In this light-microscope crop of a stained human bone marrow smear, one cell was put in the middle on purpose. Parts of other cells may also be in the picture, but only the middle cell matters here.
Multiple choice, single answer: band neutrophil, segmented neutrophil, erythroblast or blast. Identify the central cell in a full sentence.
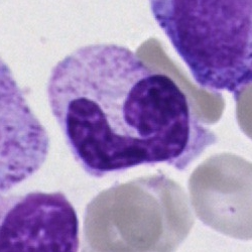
As for the cell in the middle, it is a segmented neutrophil.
